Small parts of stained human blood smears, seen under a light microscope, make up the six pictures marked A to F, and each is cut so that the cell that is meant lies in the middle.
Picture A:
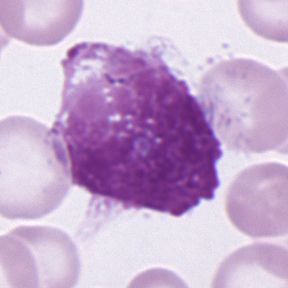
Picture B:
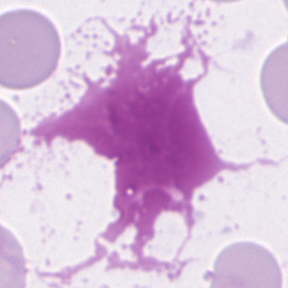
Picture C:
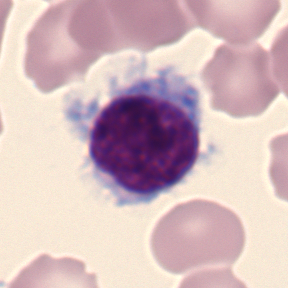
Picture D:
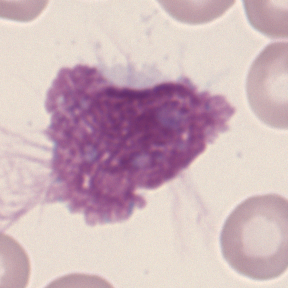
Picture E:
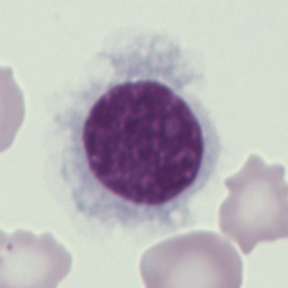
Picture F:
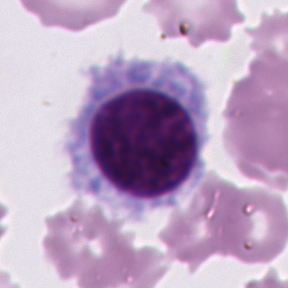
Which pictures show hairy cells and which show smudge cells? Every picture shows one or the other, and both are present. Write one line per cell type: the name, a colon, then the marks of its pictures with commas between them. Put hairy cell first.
hairy cell: C, E, F
smudge cell: A, B, D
